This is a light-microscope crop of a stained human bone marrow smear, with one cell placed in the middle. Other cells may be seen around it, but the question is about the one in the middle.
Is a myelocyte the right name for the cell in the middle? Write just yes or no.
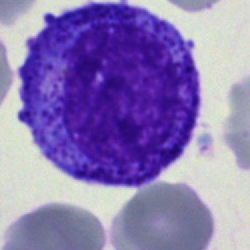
no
